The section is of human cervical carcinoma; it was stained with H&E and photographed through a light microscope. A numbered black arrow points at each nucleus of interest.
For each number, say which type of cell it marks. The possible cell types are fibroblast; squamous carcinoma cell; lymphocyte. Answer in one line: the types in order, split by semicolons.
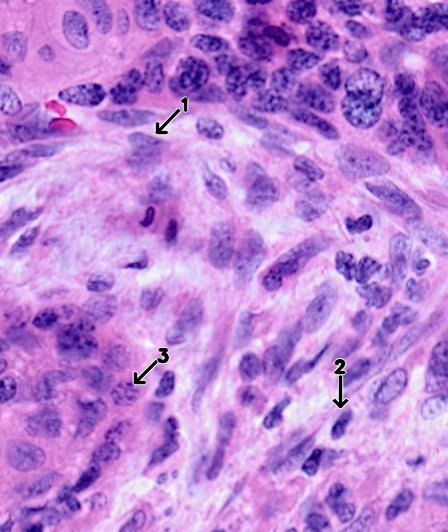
fibroblast; lymphocyte; squamous carcinoma cell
